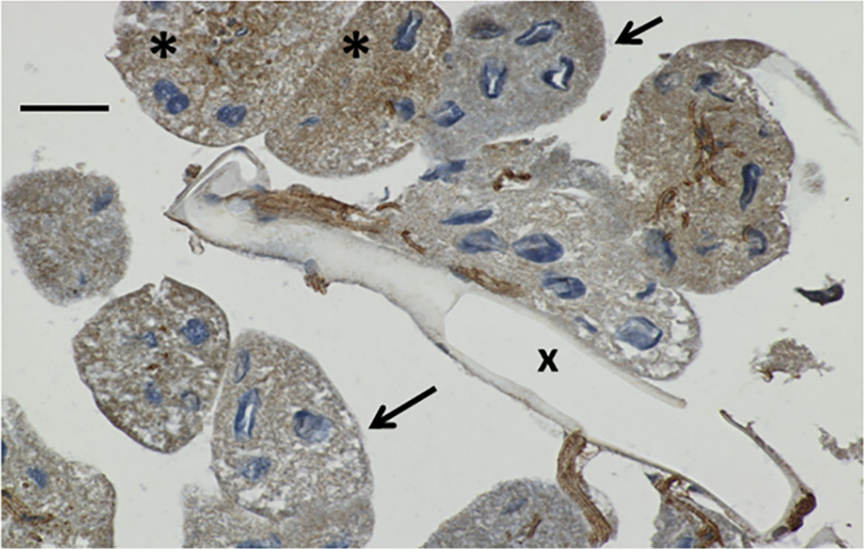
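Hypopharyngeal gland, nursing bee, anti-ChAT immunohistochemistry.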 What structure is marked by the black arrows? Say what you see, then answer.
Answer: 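Acini. The arrows point to rounded cell clusters with several blue nuclei.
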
